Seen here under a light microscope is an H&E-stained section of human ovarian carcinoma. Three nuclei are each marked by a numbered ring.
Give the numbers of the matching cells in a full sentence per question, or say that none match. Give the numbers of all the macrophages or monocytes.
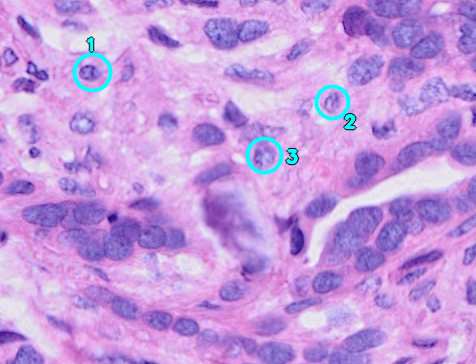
In this section, the cells labelled 1 and 2 are macrophages or monocytes.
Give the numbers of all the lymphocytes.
Among the cells with numbered nuclei there are no lymphocytes.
